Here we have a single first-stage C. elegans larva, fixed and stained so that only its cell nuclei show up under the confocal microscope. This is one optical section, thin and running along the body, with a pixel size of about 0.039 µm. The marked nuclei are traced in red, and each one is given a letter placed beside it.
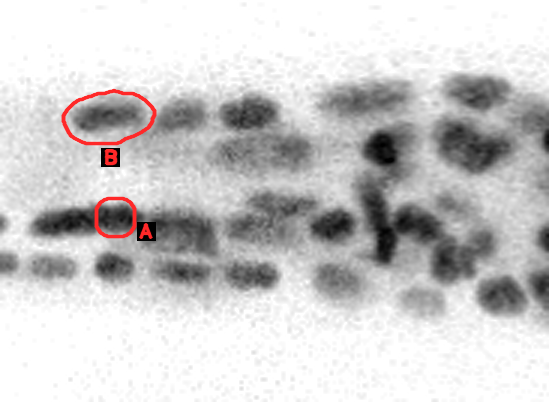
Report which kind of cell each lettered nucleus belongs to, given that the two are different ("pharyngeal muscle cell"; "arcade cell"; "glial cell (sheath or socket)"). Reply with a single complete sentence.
A is from a pharyngeal muscle cell, and B is from an arcade cell.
